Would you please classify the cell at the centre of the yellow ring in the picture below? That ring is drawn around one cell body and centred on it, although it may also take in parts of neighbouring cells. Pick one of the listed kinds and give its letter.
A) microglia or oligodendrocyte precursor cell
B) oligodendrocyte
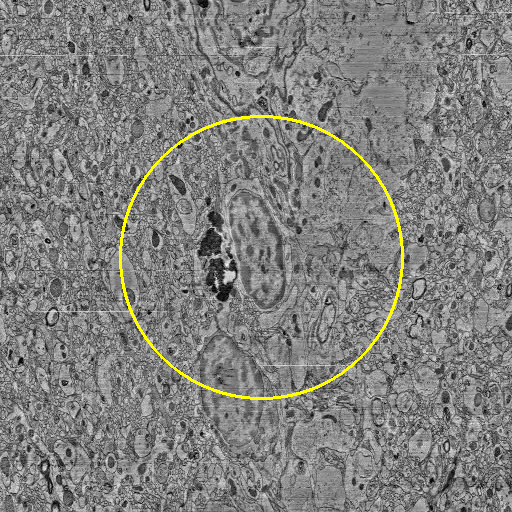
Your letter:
A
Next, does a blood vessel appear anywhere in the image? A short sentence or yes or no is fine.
Yes, a vessel appears in the picture.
